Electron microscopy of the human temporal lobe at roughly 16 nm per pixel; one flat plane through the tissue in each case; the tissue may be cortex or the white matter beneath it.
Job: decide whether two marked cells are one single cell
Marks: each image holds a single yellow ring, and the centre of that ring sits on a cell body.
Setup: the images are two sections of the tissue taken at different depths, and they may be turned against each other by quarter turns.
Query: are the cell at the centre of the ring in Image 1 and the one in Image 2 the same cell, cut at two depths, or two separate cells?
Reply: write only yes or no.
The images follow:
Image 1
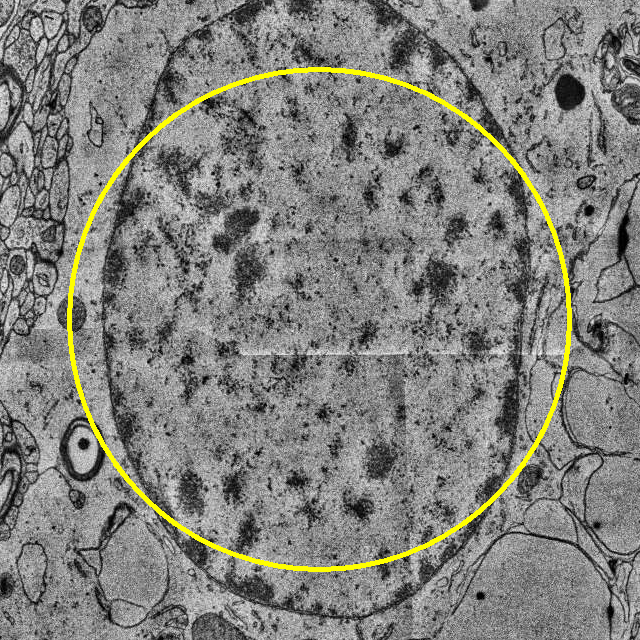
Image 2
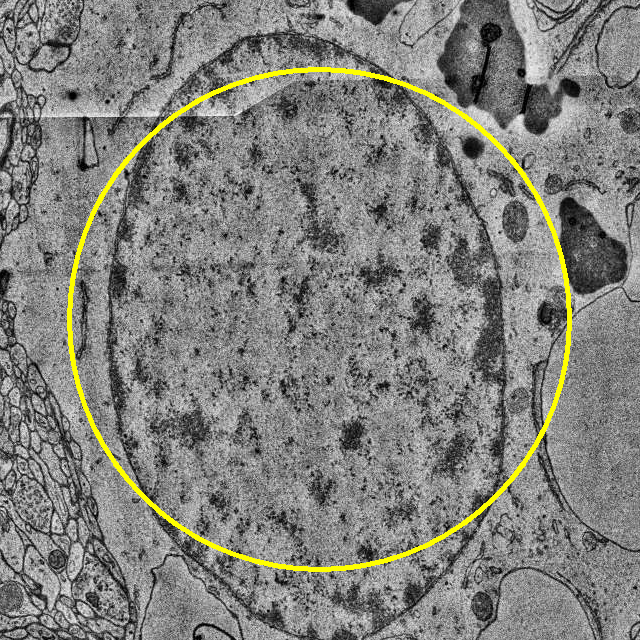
yes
